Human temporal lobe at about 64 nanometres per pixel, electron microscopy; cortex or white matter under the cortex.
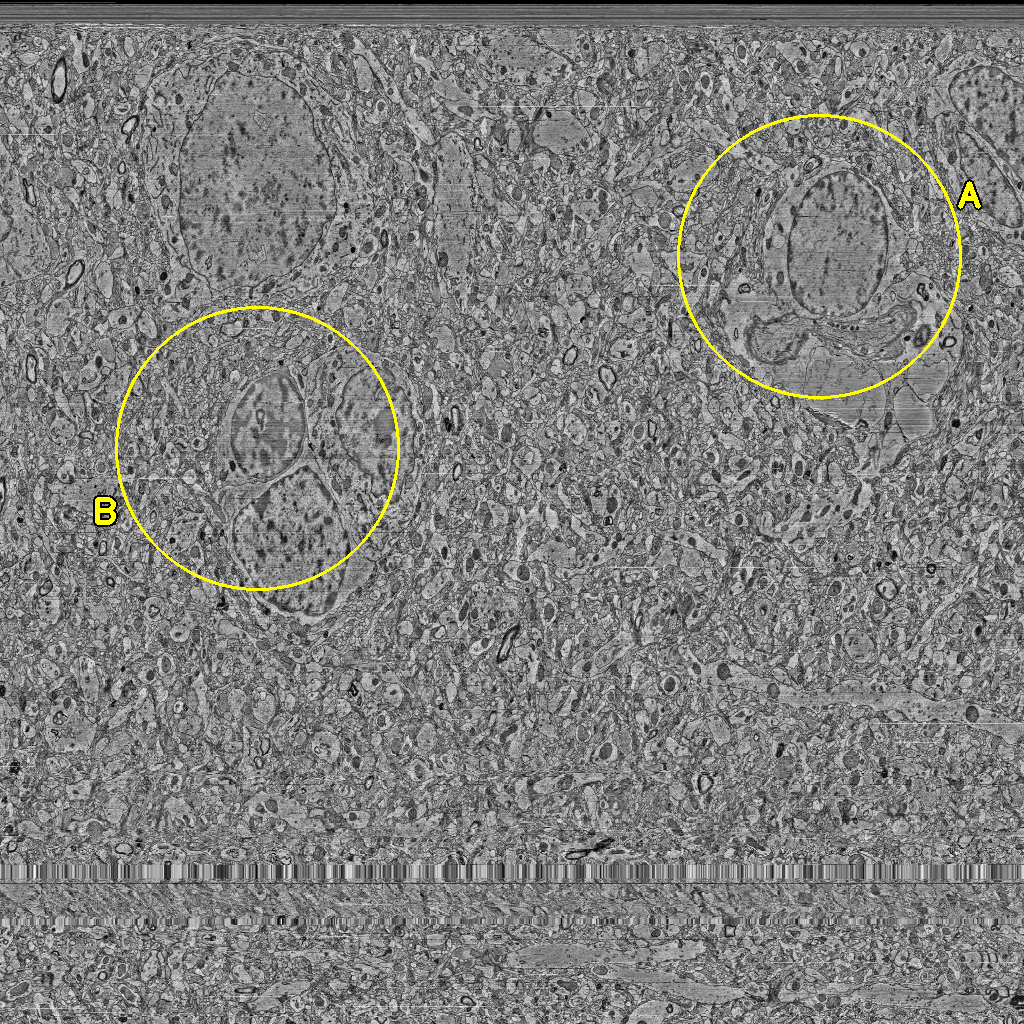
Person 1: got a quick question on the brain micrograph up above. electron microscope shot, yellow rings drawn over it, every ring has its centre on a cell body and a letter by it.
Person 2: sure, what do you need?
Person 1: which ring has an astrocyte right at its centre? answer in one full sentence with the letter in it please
In that picture, ring A is centred on the cell asked for.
